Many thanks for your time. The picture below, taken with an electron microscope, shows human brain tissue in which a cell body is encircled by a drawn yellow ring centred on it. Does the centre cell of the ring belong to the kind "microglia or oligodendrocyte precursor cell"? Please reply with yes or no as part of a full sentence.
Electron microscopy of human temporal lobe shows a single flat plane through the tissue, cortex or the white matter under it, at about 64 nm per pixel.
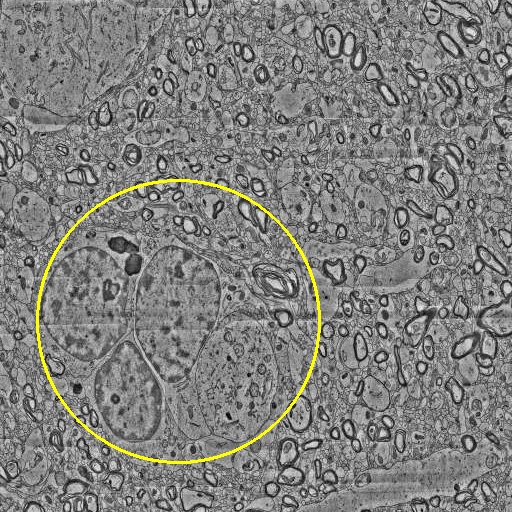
Yes, in the picture the cell at the ring's centre is of the kind you named.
